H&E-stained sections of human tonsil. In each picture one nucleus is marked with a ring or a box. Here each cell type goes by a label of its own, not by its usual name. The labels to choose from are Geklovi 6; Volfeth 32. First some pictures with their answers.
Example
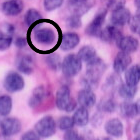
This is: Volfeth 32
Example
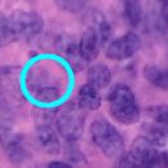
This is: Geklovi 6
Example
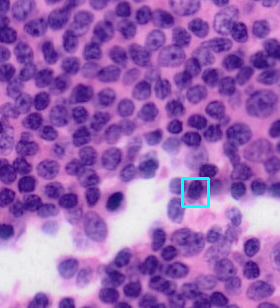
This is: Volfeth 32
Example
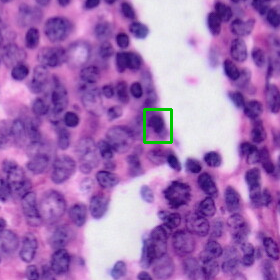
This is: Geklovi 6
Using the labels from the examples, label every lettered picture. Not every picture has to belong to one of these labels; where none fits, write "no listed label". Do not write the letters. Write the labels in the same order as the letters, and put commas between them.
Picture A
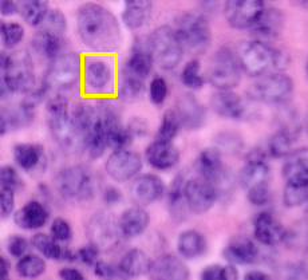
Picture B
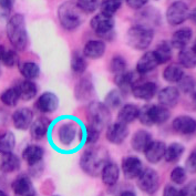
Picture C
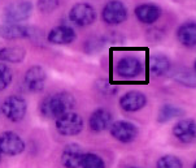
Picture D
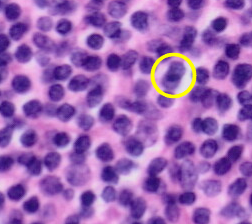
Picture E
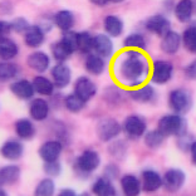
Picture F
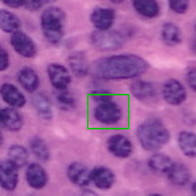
Geklovi 6, Volfeth 32, no listed label, Volfeth 32, Volfeth 32, no listed label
